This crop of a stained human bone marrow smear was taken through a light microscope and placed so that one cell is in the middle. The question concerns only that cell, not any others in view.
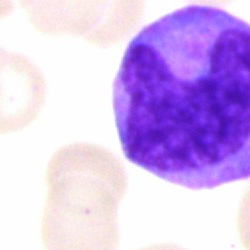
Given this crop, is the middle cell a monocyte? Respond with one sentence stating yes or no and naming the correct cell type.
Yes, the middle cell in this crop is a monocyte.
